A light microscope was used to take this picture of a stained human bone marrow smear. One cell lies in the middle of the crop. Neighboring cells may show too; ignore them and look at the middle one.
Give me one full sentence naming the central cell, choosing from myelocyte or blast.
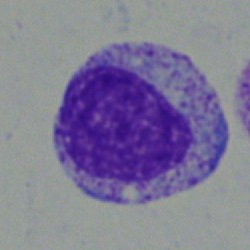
Where the crop is centred, there is a myelocyte.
